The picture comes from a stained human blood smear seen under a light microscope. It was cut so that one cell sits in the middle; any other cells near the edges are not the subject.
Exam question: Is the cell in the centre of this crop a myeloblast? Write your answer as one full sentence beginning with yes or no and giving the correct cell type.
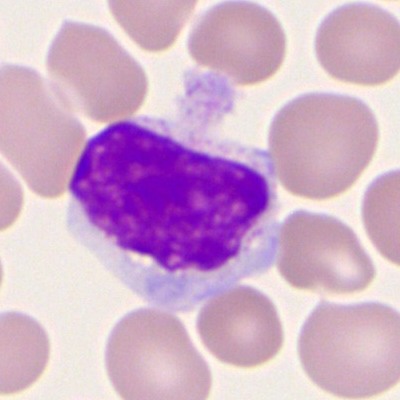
No, the cell at the centre is identified as a monocyte, not as a myeloblast.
